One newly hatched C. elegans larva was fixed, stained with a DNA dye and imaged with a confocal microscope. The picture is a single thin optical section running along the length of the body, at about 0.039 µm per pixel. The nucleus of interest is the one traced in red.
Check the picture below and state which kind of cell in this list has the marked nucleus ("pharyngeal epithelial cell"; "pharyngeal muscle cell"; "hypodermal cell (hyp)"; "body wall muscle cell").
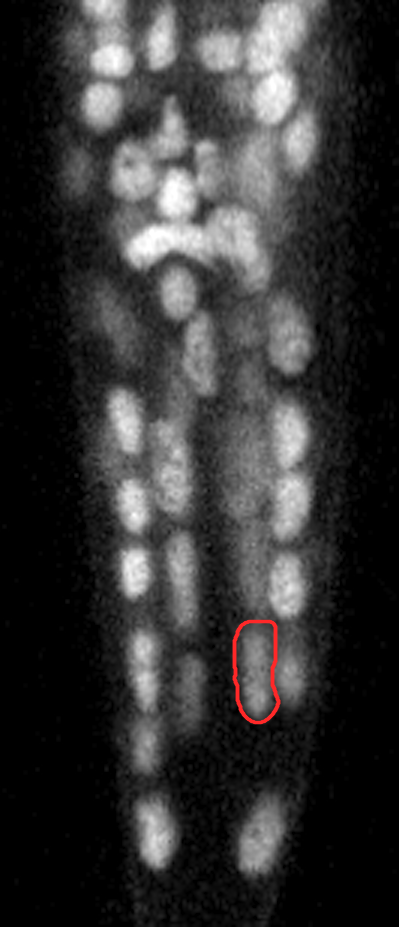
pharyngeal epithelial cell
